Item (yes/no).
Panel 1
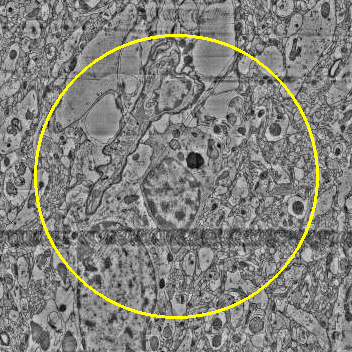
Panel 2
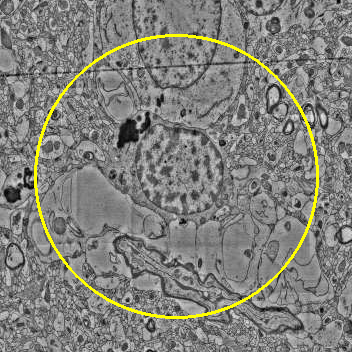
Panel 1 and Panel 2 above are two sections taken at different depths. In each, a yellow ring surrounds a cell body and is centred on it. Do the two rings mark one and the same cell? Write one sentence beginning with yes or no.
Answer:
No, a single cell is not marked twice here; two cells are marked.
